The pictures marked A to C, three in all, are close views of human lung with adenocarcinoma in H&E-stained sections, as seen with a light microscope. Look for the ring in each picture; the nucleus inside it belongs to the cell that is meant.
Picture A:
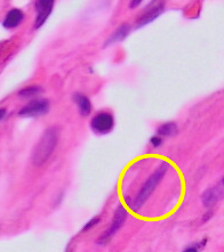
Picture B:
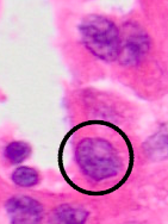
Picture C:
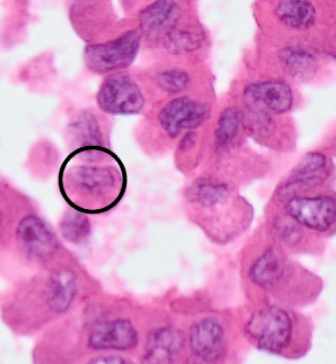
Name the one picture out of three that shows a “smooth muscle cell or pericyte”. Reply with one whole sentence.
The “smooth muscle cell or pericyte” is the one in picture A.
